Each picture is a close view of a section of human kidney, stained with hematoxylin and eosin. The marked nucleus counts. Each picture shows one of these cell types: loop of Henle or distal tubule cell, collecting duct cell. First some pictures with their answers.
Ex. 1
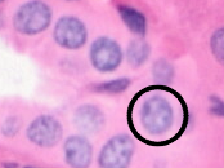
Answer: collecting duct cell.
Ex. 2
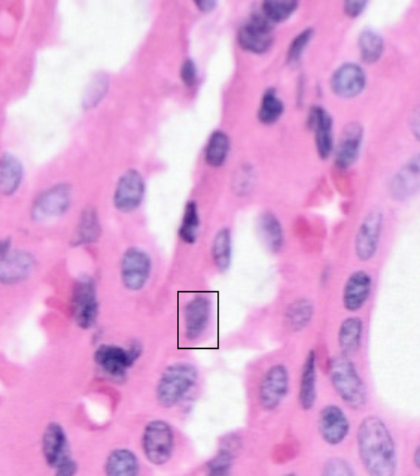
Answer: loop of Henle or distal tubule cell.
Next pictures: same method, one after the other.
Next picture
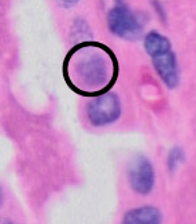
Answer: collecting duct cell.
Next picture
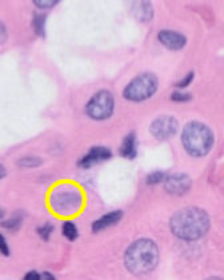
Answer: collecting duct cell.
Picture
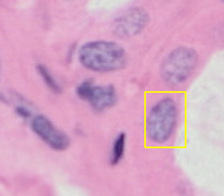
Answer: loop of Henle or distal tubule cell.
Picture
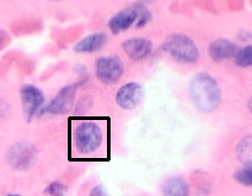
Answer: loop of Henle or distal tubule cell.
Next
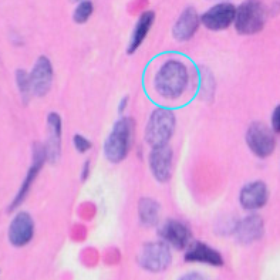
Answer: collecting duct cell.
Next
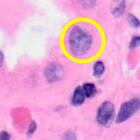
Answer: loop of Henle or distal tubule cell.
